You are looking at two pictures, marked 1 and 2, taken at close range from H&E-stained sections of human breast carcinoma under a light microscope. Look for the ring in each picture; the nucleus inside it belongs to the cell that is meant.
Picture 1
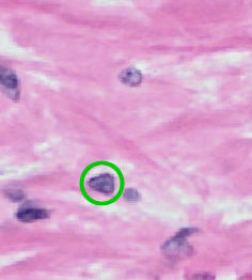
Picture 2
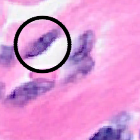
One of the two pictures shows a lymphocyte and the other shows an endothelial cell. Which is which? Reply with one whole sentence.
In picture 1 the cell is a lymphocyte; in picture 2, an endothelial cell.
